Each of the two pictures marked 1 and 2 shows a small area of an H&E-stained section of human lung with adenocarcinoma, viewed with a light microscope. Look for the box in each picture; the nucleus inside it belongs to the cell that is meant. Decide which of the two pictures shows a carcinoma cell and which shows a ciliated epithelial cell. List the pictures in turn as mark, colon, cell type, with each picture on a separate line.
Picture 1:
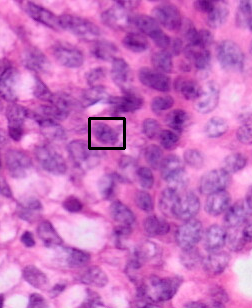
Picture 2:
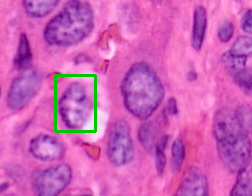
1: ciliated epithelial cell
2: carcinoma cell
